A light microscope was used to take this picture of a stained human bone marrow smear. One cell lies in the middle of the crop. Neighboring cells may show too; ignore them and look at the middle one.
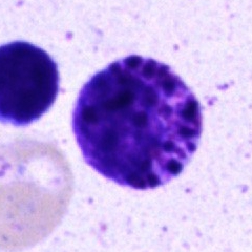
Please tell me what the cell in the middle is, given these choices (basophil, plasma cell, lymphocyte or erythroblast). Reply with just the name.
basophil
